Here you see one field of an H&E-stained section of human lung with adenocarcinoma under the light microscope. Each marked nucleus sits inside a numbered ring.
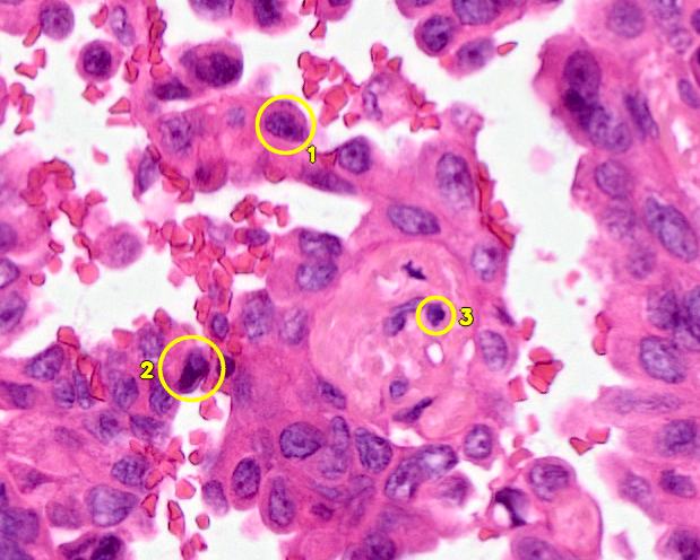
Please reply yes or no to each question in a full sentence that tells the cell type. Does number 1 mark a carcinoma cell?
Yes, in this tissue section, number 1 is a carcinoma cell.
